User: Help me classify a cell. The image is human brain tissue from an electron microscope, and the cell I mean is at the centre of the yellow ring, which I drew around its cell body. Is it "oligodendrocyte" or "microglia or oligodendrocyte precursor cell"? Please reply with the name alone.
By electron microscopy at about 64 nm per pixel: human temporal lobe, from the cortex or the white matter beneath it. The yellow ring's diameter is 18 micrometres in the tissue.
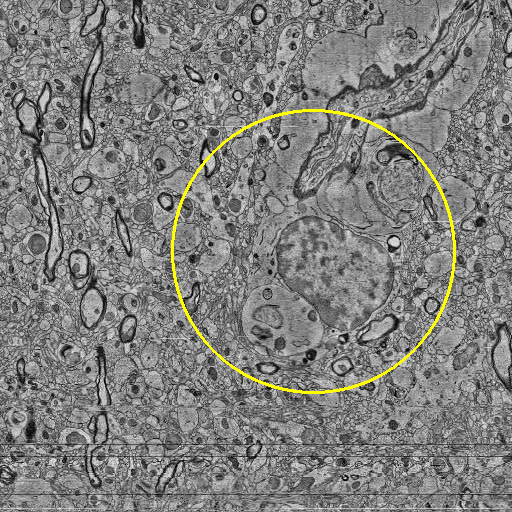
microglia or oligodendrocyte precursor cell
